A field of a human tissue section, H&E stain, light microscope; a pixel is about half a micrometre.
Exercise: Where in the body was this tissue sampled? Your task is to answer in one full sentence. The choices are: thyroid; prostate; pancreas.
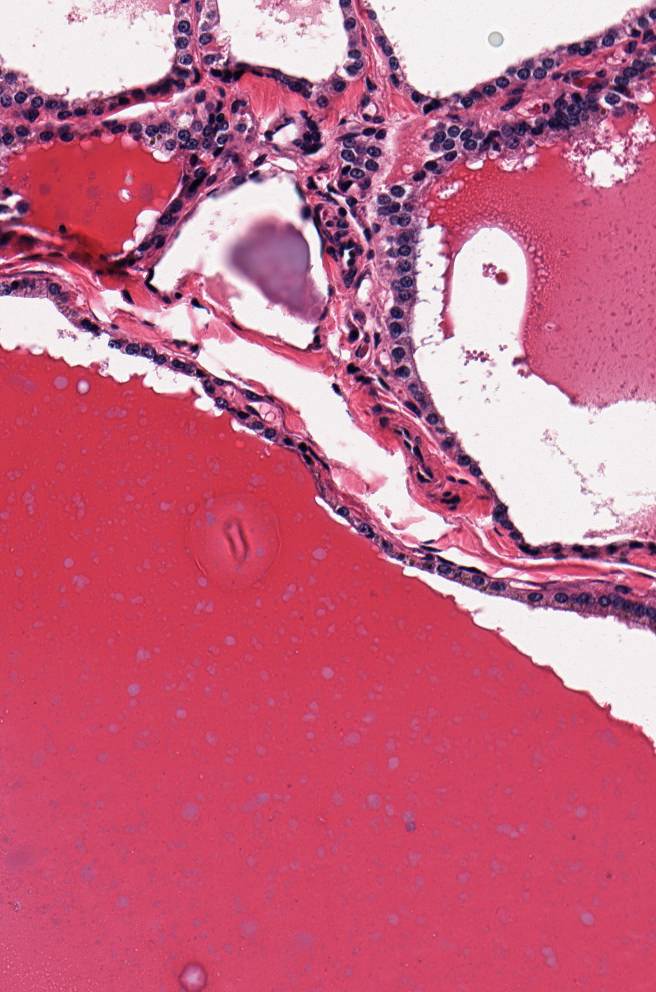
This is tissue that was sampled from the thyroid.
